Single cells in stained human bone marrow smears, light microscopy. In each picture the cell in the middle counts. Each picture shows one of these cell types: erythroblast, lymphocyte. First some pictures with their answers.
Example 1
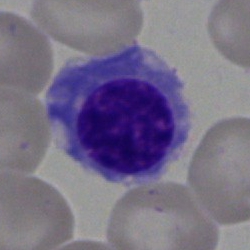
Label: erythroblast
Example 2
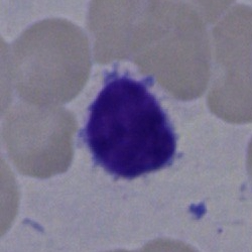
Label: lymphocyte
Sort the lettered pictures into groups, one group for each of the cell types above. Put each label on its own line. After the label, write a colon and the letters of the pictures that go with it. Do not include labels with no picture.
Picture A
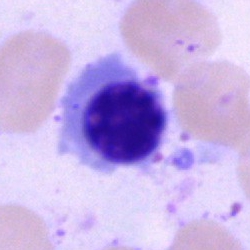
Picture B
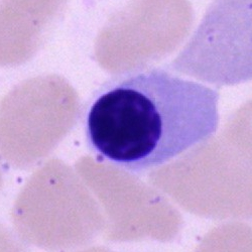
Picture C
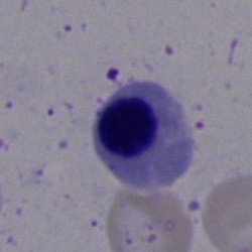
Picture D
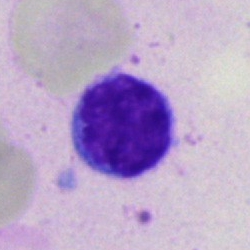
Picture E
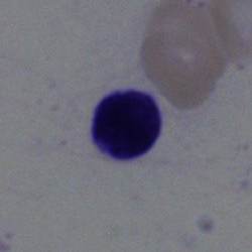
erythroblast: A, B, C
lymphocyte: D, E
